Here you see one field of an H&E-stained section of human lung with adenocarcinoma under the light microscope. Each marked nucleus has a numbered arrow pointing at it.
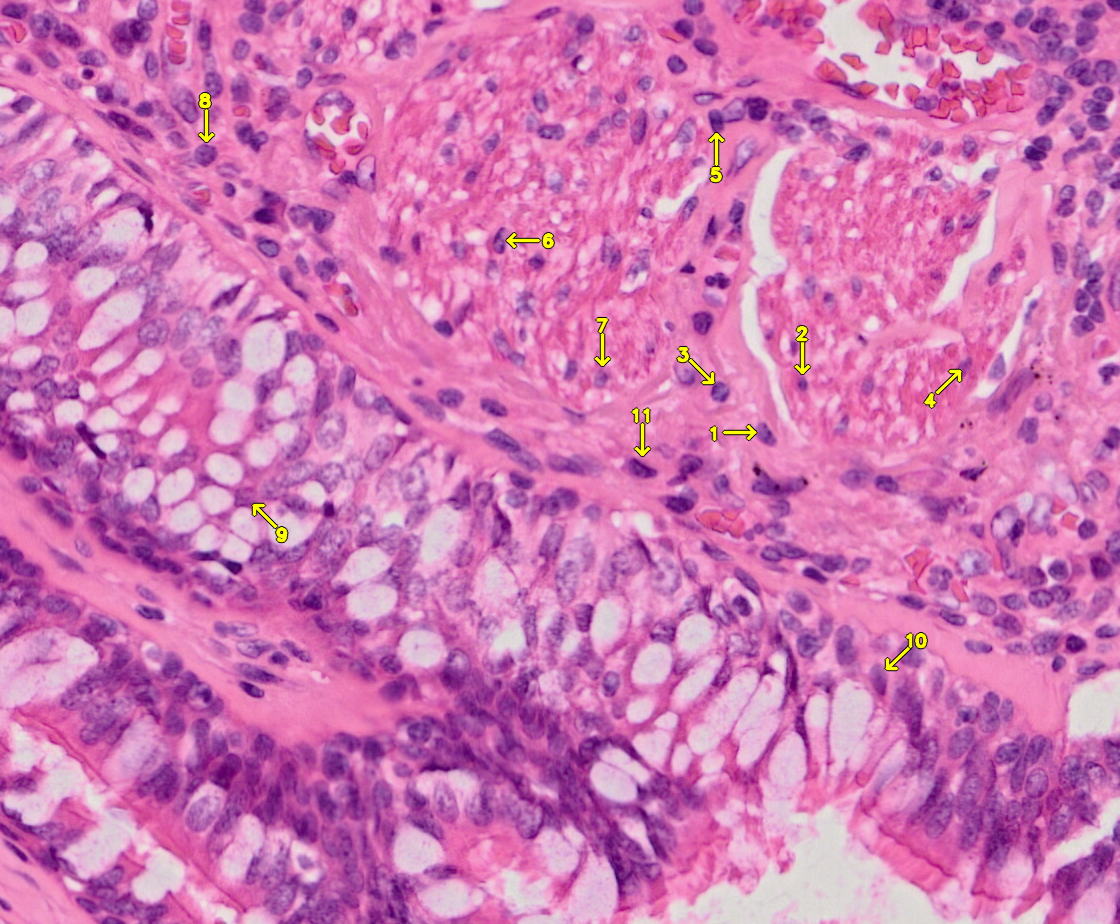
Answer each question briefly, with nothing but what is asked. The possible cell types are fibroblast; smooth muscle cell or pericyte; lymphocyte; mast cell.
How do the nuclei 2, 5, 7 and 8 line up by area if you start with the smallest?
2, 7, 5, 8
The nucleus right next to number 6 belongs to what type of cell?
smooth muscle cell or pericyte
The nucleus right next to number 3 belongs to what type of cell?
fibroblast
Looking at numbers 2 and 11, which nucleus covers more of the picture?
11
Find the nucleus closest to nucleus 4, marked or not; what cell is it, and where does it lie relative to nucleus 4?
a lymphocyte to the right of nucleus 4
